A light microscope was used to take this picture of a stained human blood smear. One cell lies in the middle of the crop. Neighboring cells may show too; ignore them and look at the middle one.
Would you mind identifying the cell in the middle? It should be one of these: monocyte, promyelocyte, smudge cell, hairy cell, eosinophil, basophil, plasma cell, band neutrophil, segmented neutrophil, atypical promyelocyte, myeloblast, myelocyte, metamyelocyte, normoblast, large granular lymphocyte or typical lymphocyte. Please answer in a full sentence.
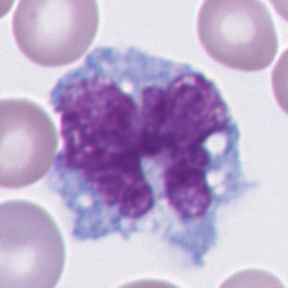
This crop's central cell is a monocyte.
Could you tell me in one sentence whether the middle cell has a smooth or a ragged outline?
The cell membrane follows an uneven contour, either ragged or bearing projections.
